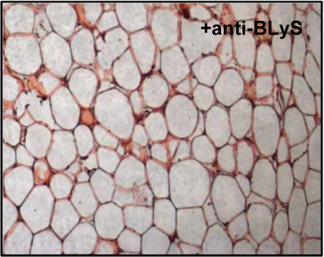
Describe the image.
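This is fat tissue made of mature adipocytes, large polygonal cells whose interiors look empty because the stored lipid was dissolved away. Each cell is reduced to a thin rim, and these rims meet their neighbours in a honeycomb pattern. The rims are coloured reddish-brown throughout, with darker patches where several cells meet. The cells vary somewhat in size across the field.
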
